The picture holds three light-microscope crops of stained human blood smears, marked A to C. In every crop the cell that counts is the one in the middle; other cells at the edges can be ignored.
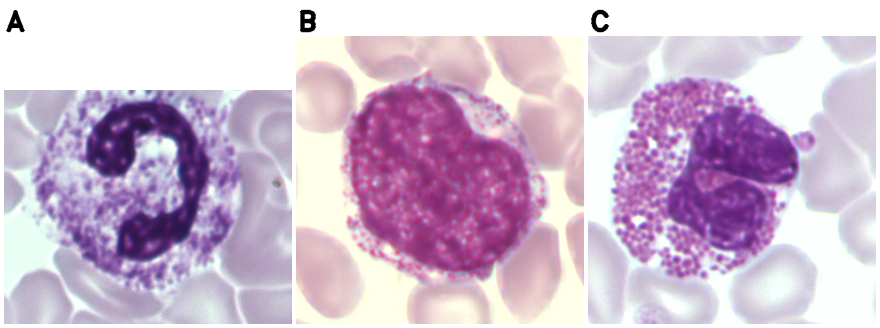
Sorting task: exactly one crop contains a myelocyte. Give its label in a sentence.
Among the crops provided, a myelocyte occupies the center of crop B.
